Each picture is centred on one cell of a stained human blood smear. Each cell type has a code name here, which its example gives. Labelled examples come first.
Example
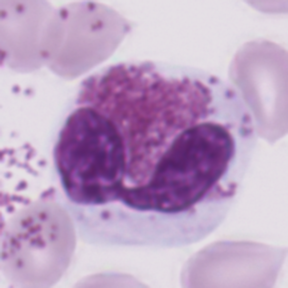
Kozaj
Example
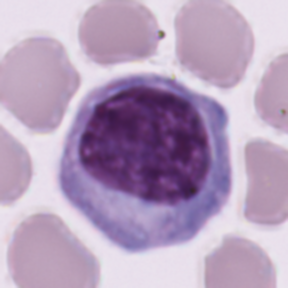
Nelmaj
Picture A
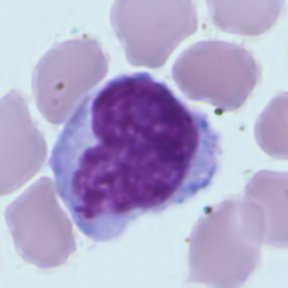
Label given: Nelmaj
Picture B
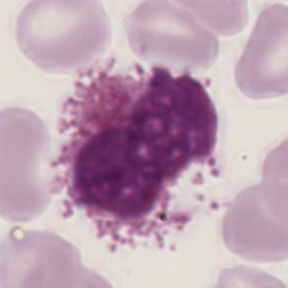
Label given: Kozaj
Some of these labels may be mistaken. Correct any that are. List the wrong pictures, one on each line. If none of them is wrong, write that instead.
No label is wrong.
